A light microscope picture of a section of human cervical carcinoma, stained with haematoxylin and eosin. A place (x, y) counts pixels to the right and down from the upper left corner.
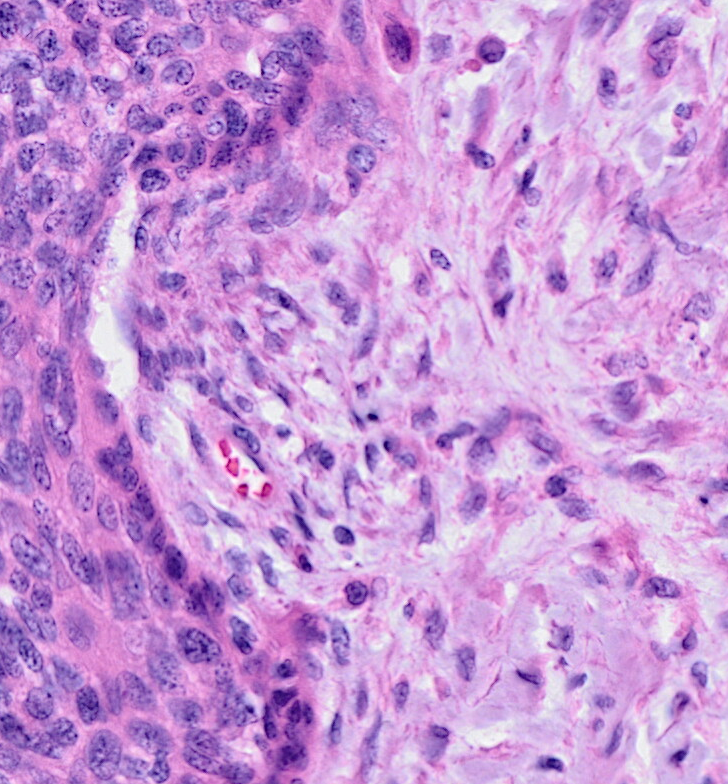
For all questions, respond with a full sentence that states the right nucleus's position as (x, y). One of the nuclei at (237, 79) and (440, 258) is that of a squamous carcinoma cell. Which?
It is the nucleus at (237, 79) that forms part of a squamous carcinoma cell.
